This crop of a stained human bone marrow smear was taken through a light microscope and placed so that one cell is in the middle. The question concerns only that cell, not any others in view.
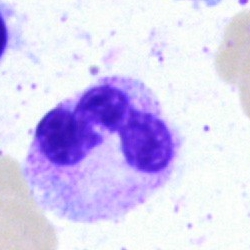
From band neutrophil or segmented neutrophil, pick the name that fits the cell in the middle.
segmented neutrophil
